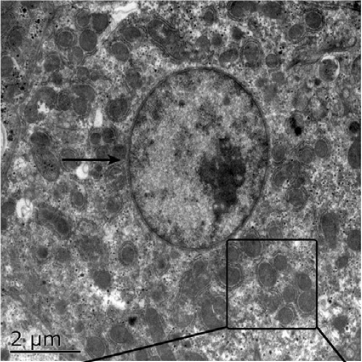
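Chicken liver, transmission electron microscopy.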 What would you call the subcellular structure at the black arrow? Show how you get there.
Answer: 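Nuclear membrane. The arrow touches the thin dark double line bounding a large oval nucleus. The nucleus holds a dense dark nucleolus.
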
